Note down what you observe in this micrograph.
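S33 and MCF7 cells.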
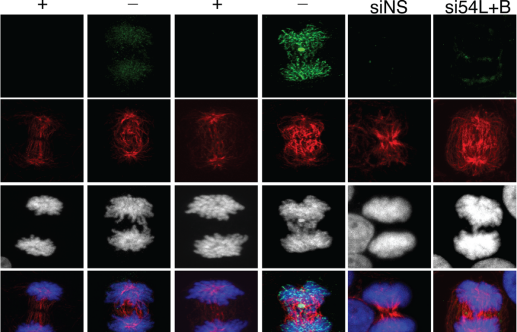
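In some cells the separating chromosome masses are less cleanly parted, with chromatin trailing between the two sets. Green granular dots lie over the chromosomes in some cells and are nearly absent in others.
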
